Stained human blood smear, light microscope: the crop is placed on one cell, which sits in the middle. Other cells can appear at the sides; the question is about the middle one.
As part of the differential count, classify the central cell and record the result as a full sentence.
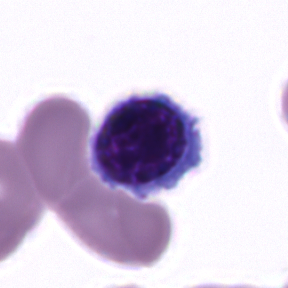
The cell at the central position in this crop is a plasma cell.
